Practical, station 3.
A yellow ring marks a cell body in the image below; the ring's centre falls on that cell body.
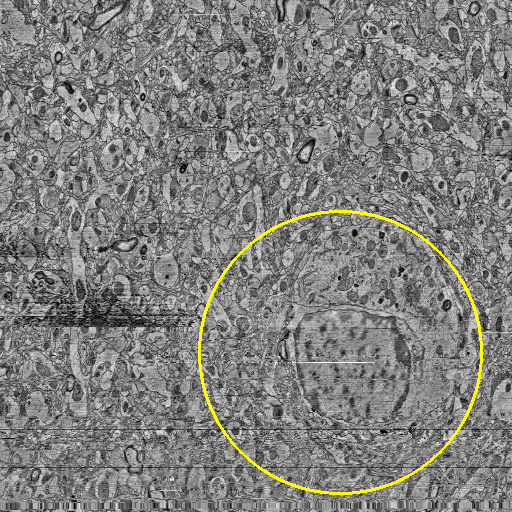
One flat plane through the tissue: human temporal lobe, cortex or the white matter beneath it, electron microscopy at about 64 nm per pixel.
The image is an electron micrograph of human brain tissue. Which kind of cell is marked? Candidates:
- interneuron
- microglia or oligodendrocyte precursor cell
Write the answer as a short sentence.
The marked cell body is that of a microglial cell or oligodendrocyte precursor cell.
